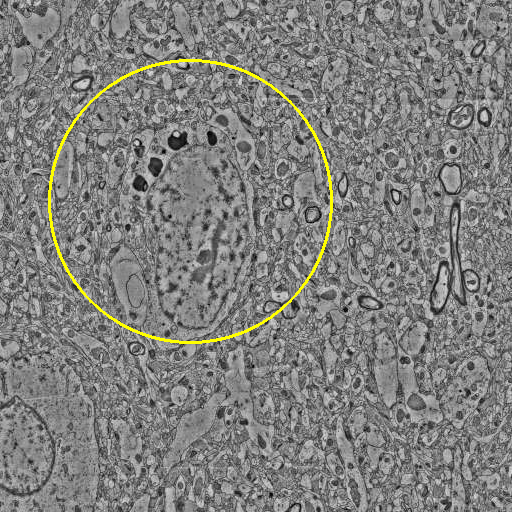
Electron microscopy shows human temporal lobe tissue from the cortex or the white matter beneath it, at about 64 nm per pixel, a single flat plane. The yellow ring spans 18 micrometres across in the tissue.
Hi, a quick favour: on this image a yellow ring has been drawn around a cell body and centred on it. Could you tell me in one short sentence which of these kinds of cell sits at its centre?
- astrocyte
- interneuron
The ring is centred on an interneuron.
